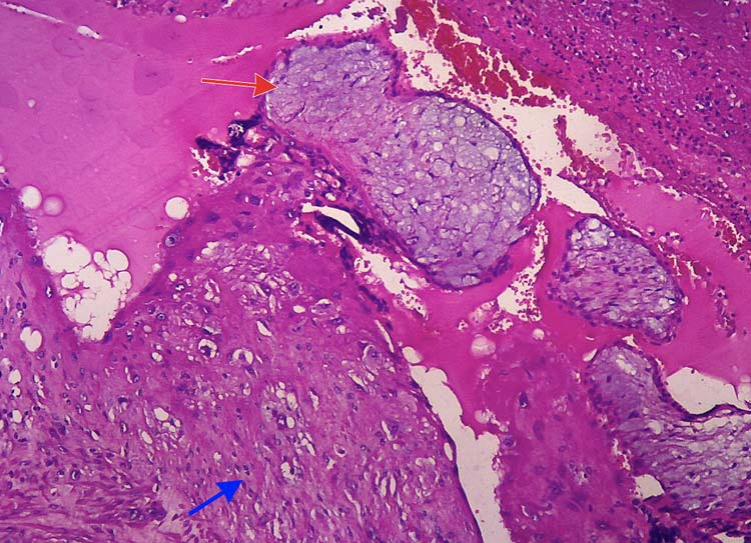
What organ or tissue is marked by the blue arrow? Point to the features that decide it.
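This tissue lies next to the rounded pale bodies. The answer: fibromuscular tissue.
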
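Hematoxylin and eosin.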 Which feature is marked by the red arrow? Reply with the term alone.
villi chorealis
